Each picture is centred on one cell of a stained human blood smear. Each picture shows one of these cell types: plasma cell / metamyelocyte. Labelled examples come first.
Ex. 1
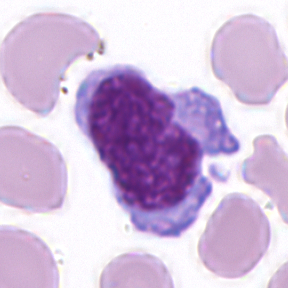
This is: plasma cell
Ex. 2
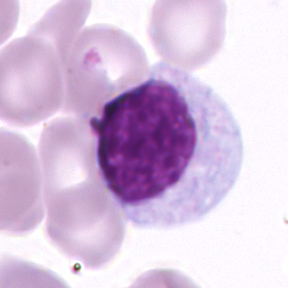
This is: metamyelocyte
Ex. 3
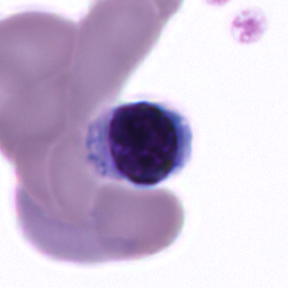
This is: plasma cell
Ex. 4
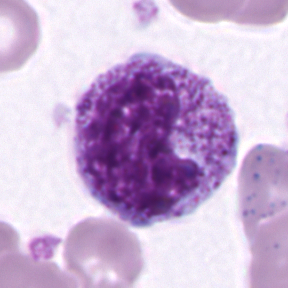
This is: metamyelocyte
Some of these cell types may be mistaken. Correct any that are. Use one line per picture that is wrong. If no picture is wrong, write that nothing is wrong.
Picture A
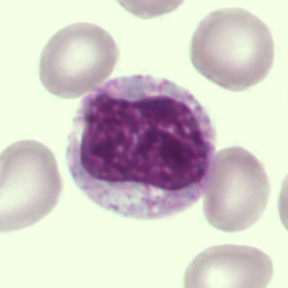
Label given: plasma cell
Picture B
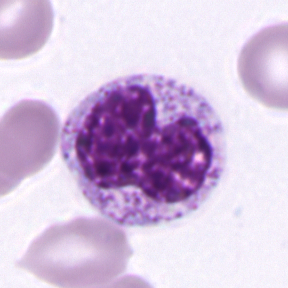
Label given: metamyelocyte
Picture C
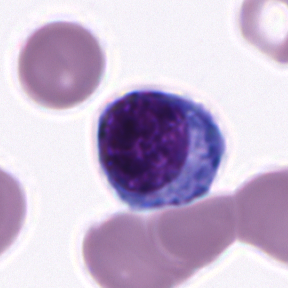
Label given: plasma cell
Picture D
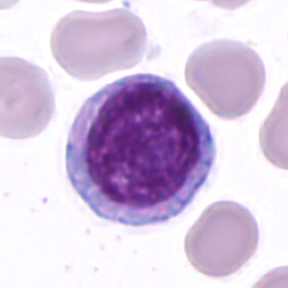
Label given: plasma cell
A: not plasma cell but metamyelocyte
